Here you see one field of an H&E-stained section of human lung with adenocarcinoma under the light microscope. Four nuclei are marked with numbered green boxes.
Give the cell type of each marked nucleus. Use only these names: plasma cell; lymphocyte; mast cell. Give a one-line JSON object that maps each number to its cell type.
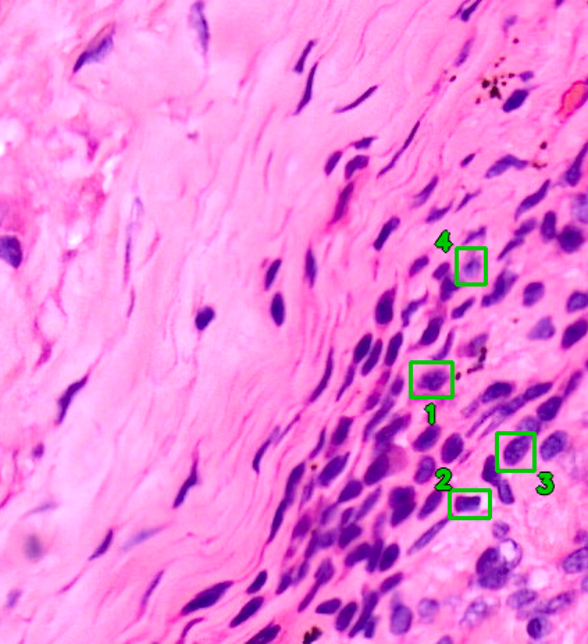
{"1": "plasma cell", "2": "lymphocyte", "3": "lymphocyte", "4": "lymphocyte"}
